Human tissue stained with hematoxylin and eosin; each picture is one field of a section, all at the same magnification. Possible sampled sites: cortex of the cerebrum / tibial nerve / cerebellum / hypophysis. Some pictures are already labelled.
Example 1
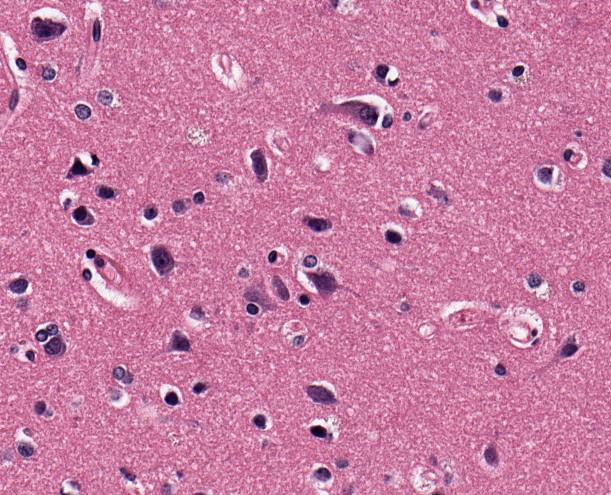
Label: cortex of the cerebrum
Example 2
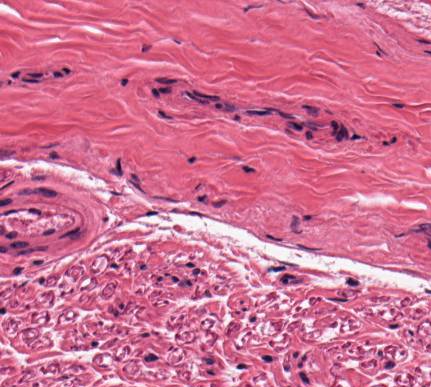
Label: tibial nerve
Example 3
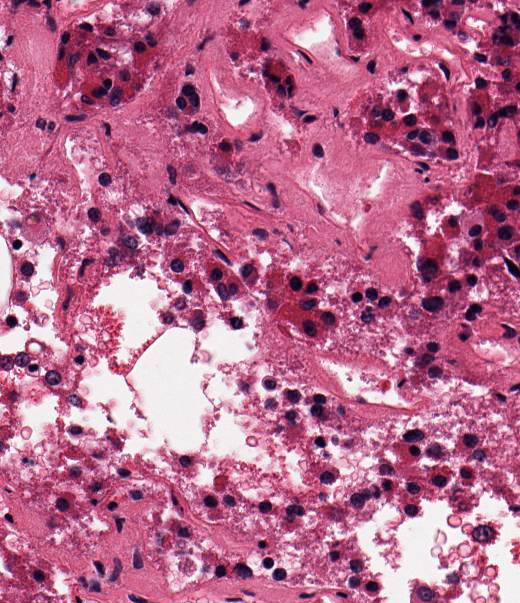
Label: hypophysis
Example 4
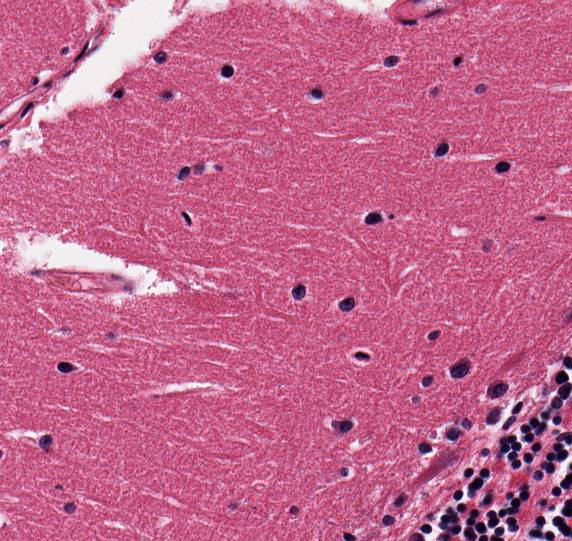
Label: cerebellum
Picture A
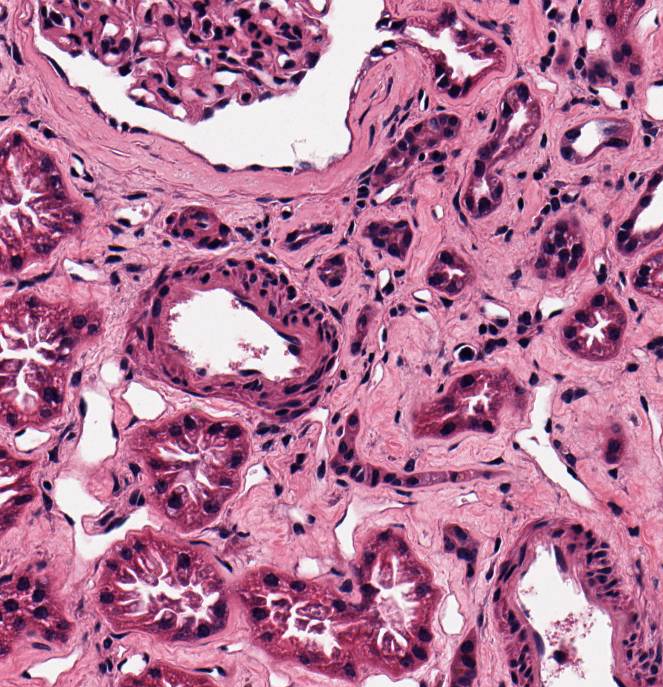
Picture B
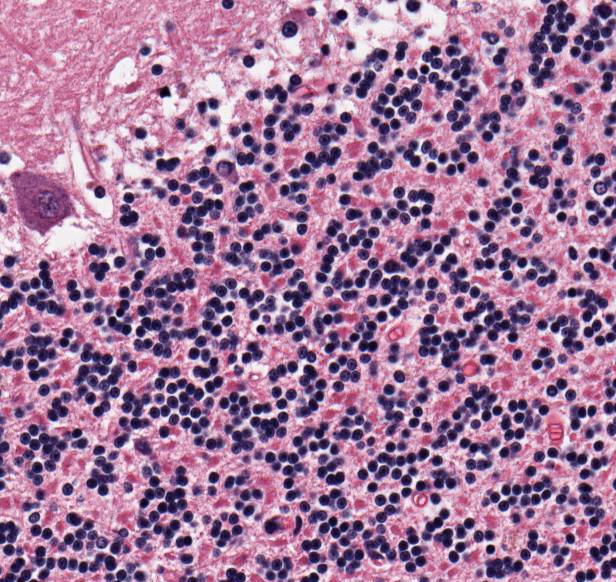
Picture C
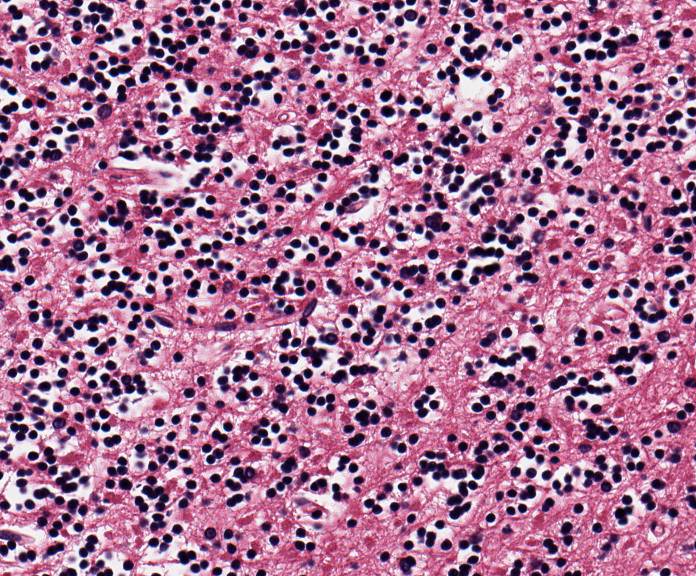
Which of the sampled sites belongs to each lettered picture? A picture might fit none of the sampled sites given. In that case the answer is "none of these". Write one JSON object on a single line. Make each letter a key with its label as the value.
{"A": "none of these", "B": "cerebellum", "C": "cerebellum"}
